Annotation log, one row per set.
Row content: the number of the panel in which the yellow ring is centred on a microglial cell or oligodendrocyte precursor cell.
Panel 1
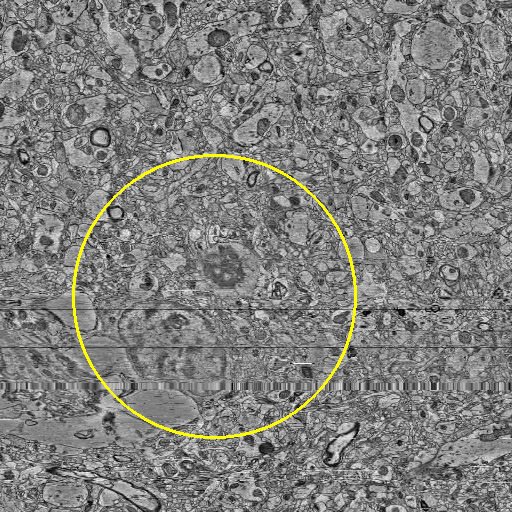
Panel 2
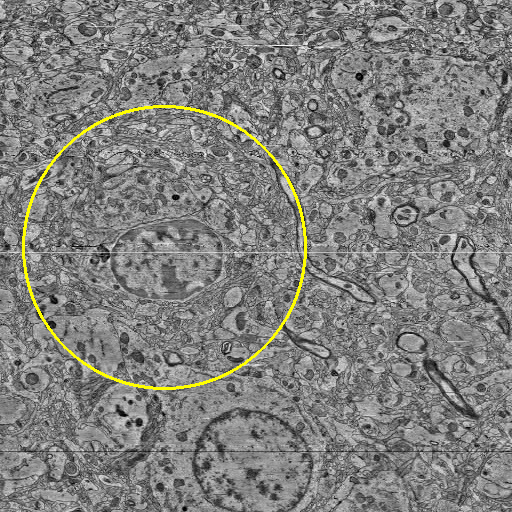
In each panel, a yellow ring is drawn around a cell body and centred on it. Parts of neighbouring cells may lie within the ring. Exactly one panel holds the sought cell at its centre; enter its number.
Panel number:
2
